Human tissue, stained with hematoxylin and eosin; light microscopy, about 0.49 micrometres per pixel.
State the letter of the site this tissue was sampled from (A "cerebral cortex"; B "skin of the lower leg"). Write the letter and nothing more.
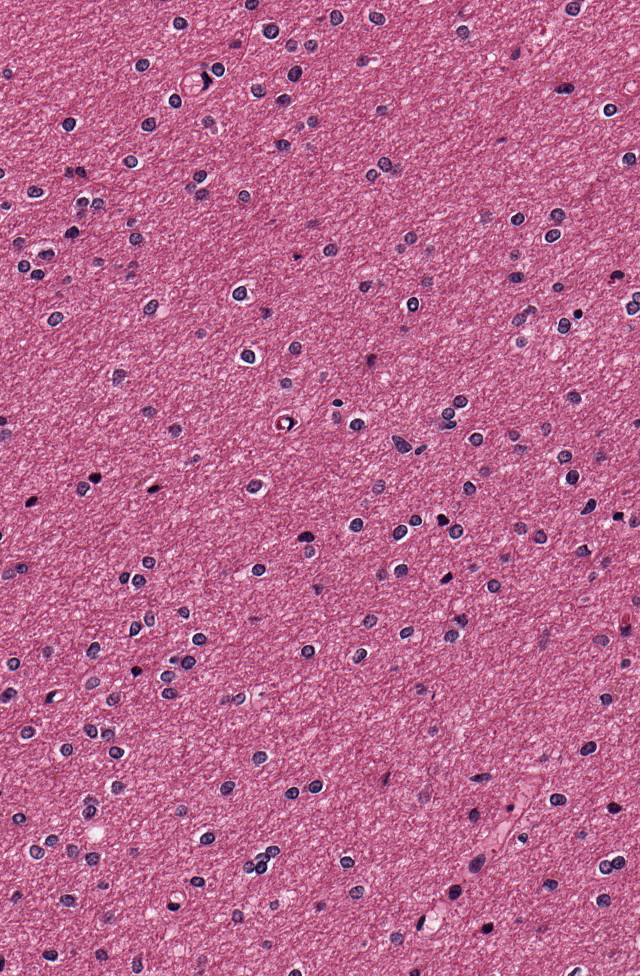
A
